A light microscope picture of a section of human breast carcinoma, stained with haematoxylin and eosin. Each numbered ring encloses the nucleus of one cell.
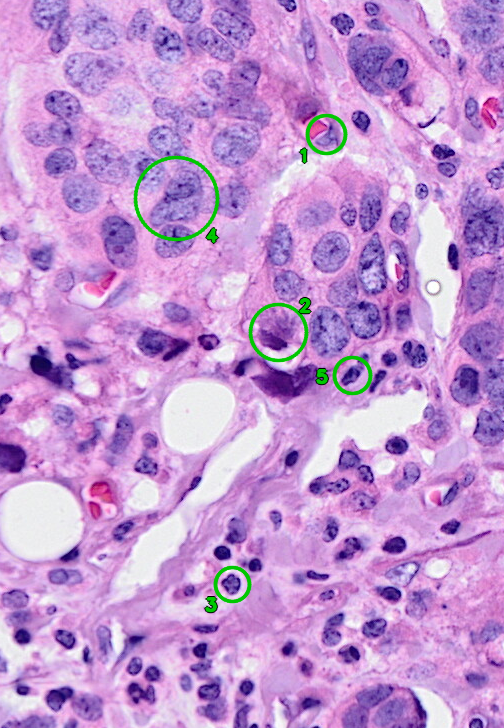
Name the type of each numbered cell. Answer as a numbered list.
1. endothelial cell
2. carcinoma cell
3. lymphocyte
4. carcinoma cell
5. lymphocyte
